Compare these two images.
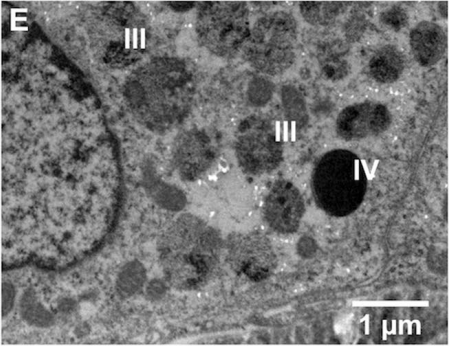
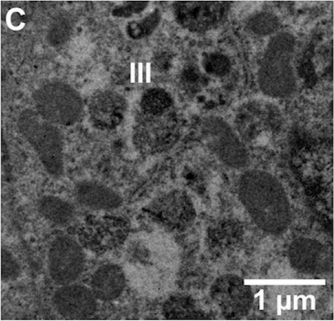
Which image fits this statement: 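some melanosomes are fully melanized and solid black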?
the first image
